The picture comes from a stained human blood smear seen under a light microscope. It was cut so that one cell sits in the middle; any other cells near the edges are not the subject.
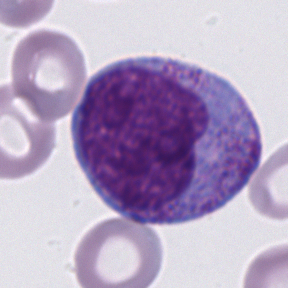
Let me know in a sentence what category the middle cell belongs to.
What sits at the centre of this crop is a promyelocyte.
